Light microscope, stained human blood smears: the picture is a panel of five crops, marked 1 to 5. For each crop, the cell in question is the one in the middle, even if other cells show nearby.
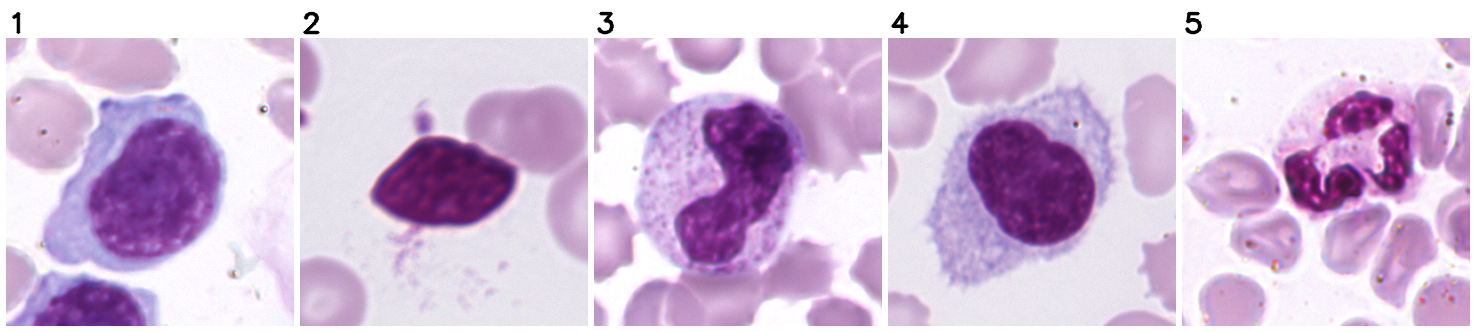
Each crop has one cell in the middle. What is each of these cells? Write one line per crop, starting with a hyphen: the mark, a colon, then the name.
- 1: plasma cell
- 2: smudge cell
- 3: band neutrophil
- 4: hairy cell
- 5: segmented neutrophil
